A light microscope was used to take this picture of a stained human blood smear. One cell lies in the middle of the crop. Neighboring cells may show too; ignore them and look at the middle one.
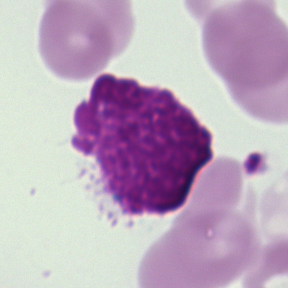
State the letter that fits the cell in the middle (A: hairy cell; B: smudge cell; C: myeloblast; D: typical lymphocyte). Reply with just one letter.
B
